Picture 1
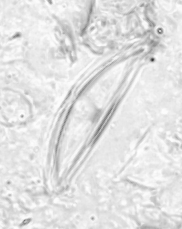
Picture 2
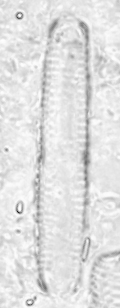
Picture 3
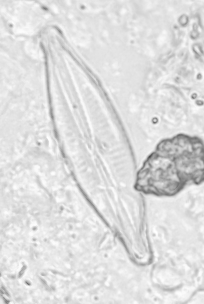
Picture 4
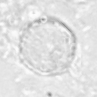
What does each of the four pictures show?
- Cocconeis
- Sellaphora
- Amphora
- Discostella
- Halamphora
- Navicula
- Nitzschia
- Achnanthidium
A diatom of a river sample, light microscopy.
1. Halamphora
2. Navicula
3. Navicula
4. Discostella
